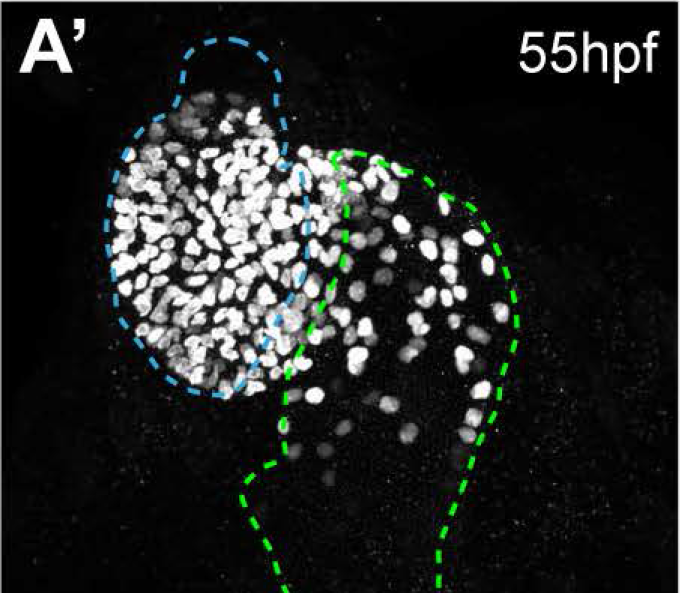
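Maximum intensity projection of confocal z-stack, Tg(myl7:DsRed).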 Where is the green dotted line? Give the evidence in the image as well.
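The green dotted line surrounds the larger, lower chamber of the heart. Nuclei inside the green outline are sparse and fade toward its lower end.
Venous.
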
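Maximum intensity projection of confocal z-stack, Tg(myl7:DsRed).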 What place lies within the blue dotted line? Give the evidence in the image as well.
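The blue dotted line surrounds the upper chamber with a narrow tube extending from its top. Nuclei inside the blue outline are densely packed and bright.
Conclusion: arterial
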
